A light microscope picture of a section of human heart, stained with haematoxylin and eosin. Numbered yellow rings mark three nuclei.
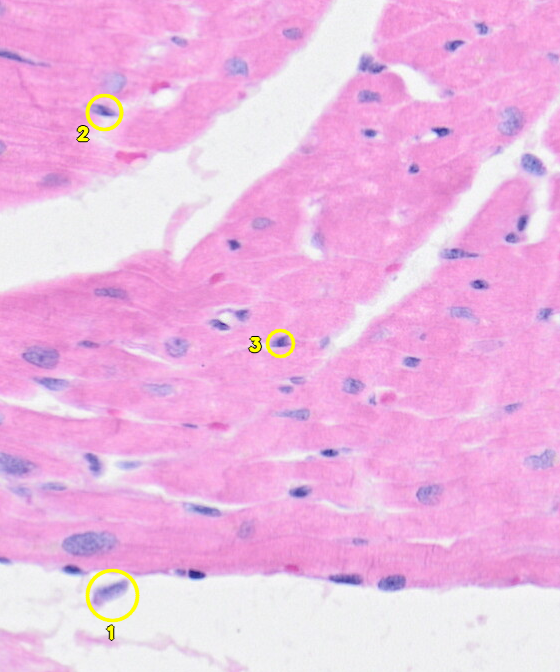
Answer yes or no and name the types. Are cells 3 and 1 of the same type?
No, that does not hold; cell 3 is an endothelial cell and cell 1 is a fibroblast.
